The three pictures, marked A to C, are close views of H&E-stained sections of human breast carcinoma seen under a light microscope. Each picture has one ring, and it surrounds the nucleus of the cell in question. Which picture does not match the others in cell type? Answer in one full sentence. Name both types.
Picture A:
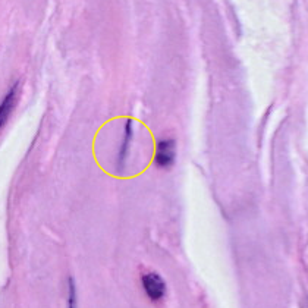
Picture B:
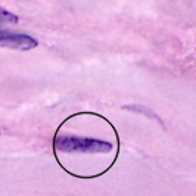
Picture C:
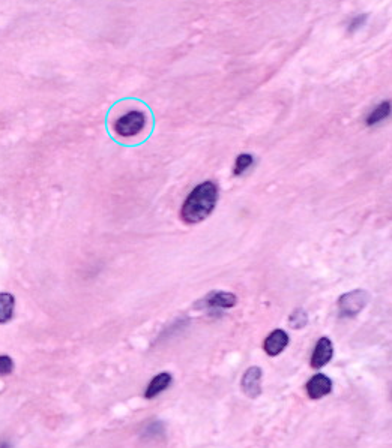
The others show fibroblasts, but picture C shows a lymphocyte.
